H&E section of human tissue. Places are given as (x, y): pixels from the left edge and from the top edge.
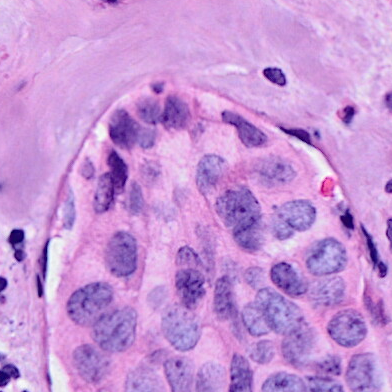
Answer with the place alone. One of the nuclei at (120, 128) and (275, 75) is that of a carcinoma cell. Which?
(120, 128)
